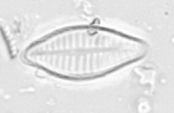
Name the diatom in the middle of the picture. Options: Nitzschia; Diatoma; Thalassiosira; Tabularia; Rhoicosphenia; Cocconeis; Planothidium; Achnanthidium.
Planothidium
